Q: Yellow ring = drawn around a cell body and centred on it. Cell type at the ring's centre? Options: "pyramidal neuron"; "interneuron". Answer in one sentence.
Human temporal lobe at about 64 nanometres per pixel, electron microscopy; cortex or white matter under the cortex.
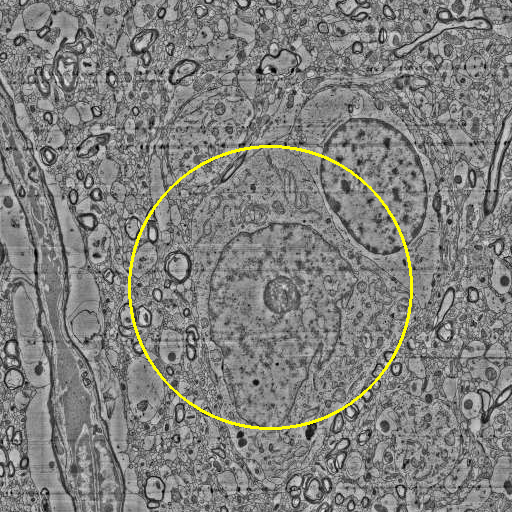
Centred in the ring is an interneuron.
